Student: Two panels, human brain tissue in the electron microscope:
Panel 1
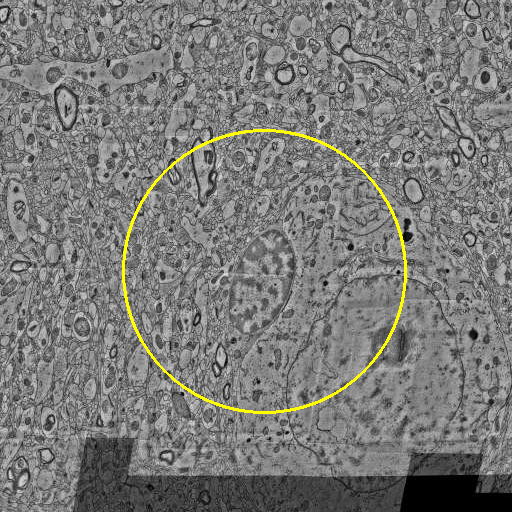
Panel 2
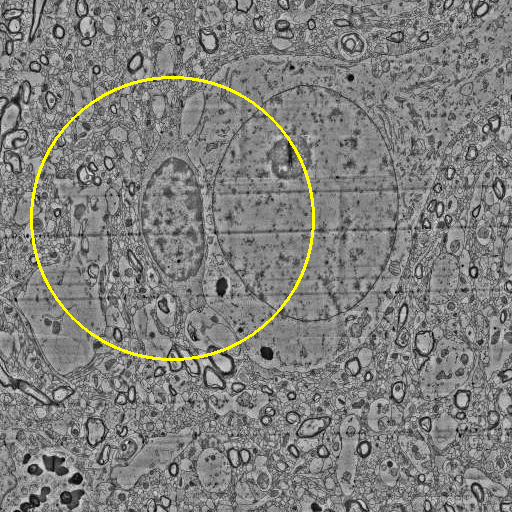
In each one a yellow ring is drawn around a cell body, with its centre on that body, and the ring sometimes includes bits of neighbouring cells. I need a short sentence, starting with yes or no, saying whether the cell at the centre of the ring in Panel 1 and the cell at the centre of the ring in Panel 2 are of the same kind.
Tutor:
Yes, they are the same kind of cell.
